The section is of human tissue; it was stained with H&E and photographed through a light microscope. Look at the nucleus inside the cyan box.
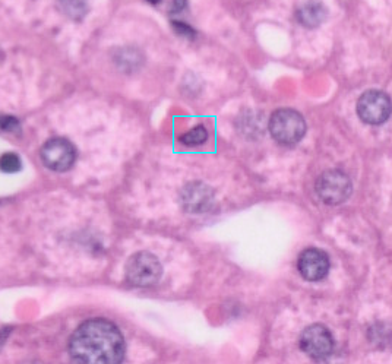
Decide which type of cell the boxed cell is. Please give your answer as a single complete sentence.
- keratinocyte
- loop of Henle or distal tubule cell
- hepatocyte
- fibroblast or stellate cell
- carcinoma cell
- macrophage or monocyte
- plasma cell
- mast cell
So far as cell type goes, the boxed cell is a fibroblast or stellate cell.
